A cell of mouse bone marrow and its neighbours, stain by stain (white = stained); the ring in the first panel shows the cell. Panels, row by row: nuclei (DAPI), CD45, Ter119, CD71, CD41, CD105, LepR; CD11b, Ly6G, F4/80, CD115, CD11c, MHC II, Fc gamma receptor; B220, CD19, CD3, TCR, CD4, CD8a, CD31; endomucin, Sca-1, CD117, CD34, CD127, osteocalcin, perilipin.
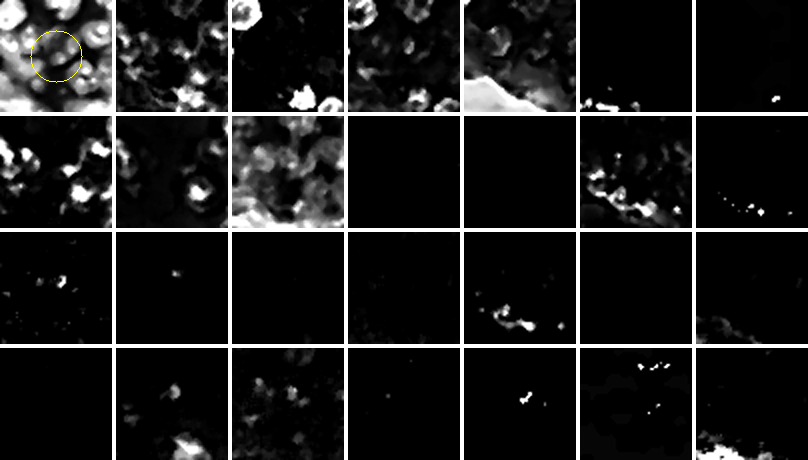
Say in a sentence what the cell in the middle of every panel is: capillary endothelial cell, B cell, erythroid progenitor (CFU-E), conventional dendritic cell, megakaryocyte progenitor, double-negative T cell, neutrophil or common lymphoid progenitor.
This is a common lymphoid progenitor.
